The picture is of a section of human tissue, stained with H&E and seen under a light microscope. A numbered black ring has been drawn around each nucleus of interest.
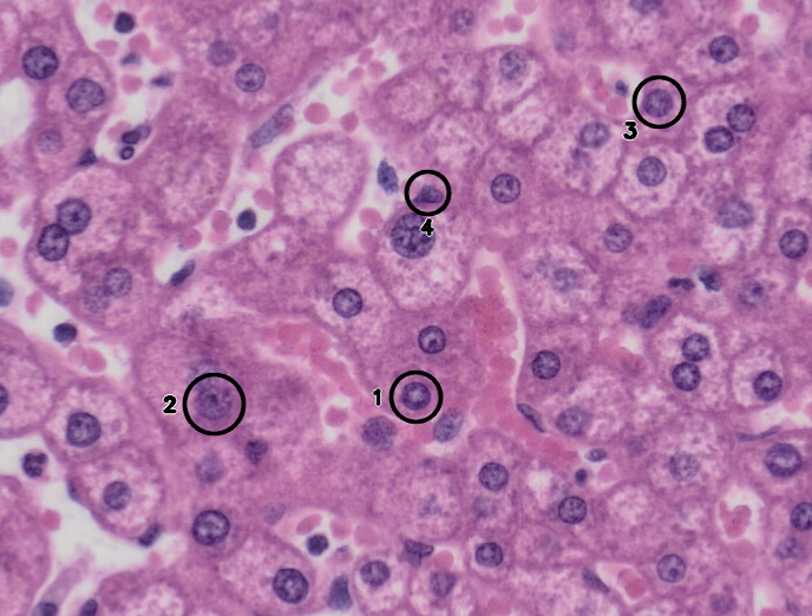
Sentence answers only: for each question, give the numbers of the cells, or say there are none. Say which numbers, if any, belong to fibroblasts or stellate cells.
There is only one numbered cell that is a fibroblast or stellate cell, and it is cell 4.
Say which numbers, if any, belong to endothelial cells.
Without exception, the numbered cells are not endothelial cells.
